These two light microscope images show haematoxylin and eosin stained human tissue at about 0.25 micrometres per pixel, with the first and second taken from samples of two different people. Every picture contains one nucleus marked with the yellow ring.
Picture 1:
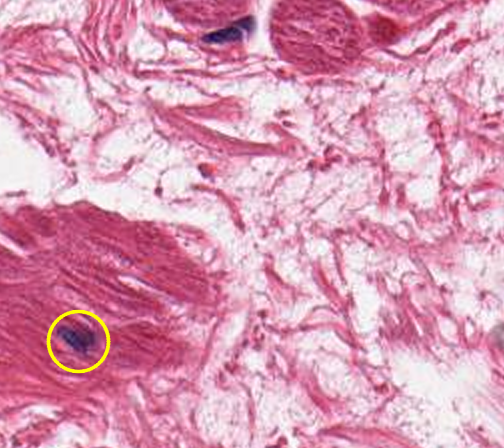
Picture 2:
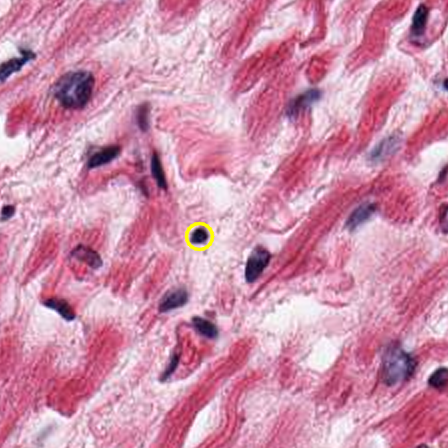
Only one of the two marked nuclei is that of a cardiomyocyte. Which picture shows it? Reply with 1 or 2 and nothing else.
1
